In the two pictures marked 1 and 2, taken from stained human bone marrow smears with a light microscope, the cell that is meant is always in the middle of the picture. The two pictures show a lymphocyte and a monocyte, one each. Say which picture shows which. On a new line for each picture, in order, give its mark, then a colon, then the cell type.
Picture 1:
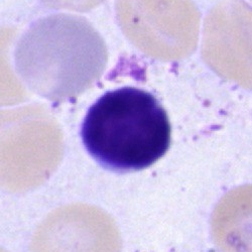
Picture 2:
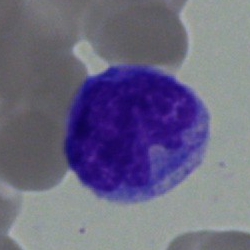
1: lymphocyte
2: monocyte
